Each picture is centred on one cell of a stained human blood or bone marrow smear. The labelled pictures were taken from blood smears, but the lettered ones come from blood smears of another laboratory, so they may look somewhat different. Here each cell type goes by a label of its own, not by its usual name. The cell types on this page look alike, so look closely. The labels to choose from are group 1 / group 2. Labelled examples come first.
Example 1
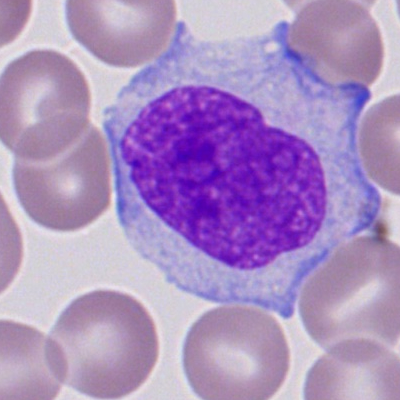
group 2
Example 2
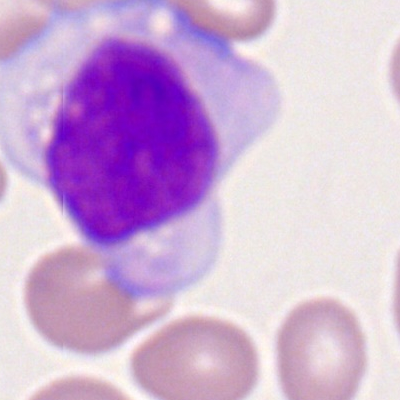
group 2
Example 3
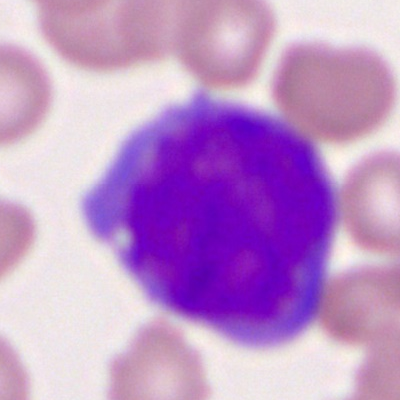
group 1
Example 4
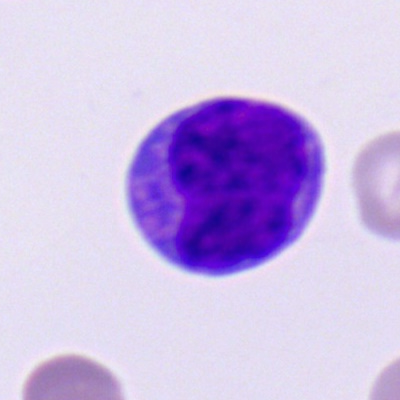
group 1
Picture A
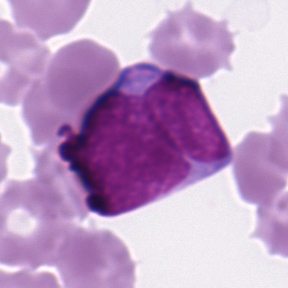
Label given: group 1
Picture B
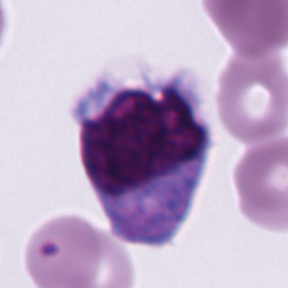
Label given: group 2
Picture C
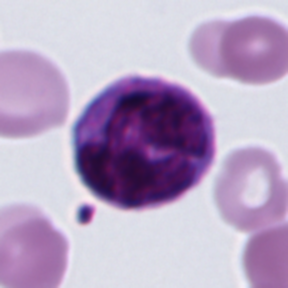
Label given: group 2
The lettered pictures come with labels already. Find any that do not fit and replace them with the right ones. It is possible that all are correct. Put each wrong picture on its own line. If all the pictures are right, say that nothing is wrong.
No label is wrong.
